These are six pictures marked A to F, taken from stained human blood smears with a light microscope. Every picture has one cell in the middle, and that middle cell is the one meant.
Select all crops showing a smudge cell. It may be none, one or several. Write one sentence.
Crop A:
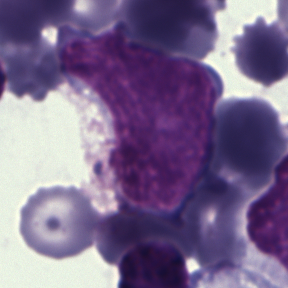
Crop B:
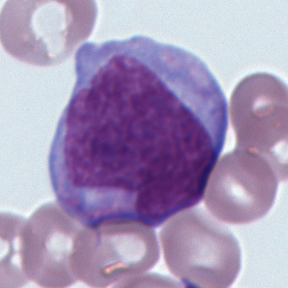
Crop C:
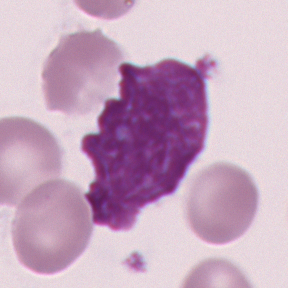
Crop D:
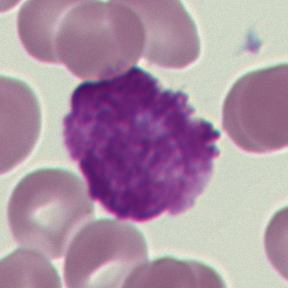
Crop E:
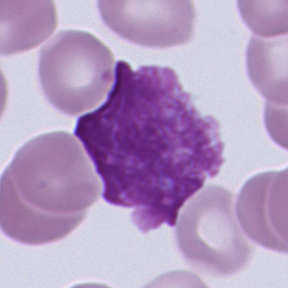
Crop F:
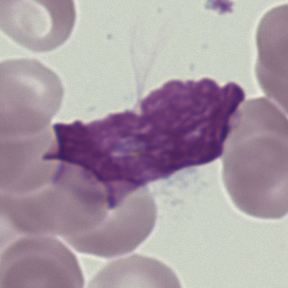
Showing smudge cells at the centre are crops C, D, E and F.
